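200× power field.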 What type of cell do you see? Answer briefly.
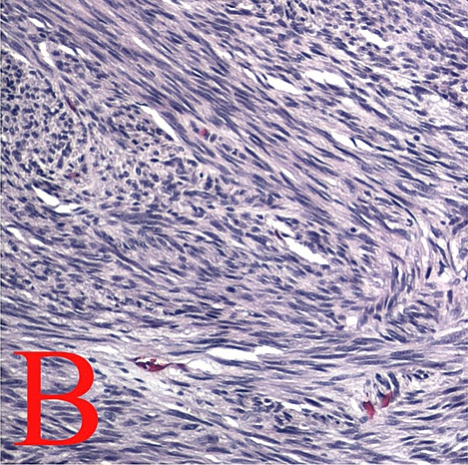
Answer: Neoplastic spindle cells.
